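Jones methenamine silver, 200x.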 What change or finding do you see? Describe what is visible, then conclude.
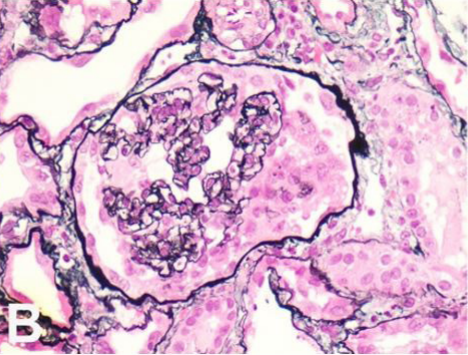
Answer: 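The black-outlined capillary loops of the glomerular tuft are wrinkled and crumpled. Few open capillary lumens remain in the tuft.
Answer: collapse of capillary lumen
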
